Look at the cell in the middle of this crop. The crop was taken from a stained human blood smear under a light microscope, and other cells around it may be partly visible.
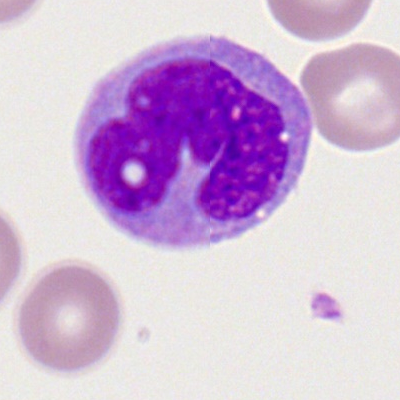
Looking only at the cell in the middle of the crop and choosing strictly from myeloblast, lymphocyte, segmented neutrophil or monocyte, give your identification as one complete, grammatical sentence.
Of the cells in this crop, the central one is a monocyte.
